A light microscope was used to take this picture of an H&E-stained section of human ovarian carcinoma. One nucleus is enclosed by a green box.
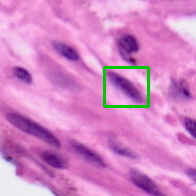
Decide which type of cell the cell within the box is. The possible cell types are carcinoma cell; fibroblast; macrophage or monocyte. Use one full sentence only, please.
Histopathologically, the cell within the box is a fibroblast.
